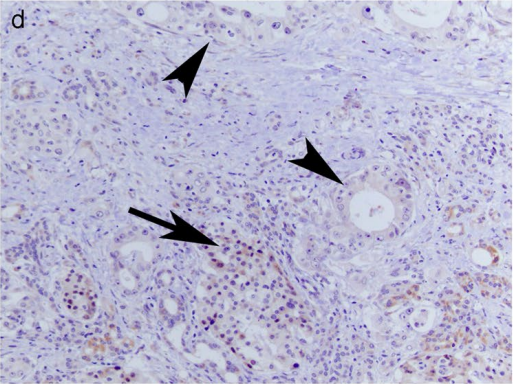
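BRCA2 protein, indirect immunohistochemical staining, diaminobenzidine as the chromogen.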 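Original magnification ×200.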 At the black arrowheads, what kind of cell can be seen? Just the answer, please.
ductal carcinomas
